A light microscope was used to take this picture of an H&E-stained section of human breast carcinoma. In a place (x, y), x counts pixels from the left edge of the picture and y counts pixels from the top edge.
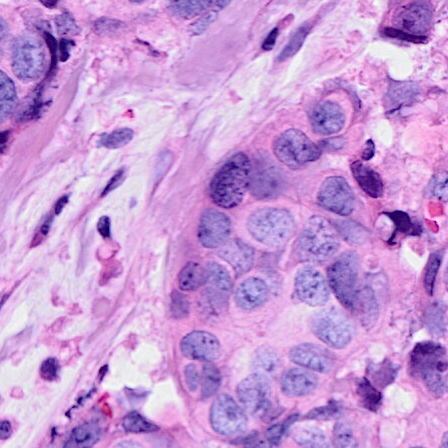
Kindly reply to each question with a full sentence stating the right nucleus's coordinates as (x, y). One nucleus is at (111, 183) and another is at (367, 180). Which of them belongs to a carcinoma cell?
The nucleus found at (367, 180) belongs to a carcinoma cell.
